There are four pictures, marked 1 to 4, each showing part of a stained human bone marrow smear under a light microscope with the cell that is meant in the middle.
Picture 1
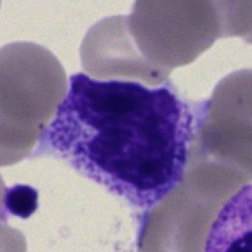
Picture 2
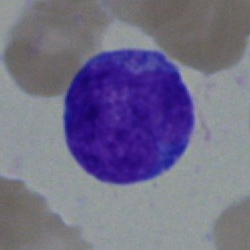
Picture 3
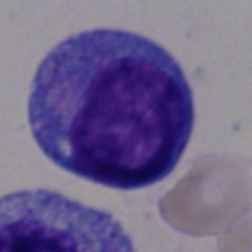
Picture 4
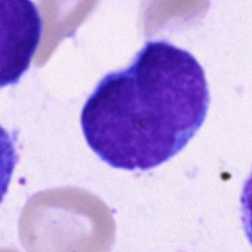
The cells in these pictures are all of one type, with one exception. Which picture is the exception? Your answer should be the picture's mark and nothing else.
1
